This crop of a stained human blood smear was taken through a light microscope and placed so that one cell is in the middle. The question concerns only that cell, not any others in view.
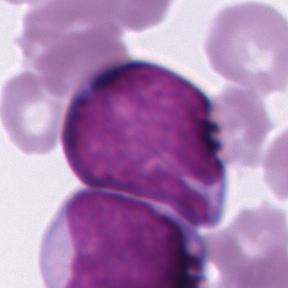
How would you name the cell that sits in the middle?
myeloblast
